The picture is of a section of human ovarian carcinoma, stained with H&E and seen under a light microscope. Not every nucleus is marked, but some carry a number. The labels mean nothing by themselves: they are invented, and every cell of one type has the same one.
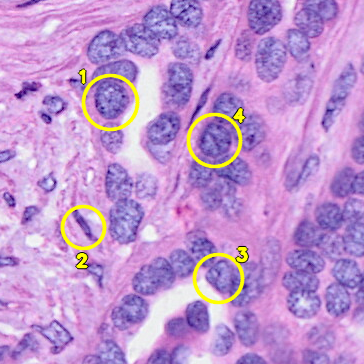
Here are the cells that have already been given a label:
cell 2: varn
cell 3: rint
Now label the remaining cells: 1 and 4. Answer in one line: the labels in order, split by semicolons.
rint; rint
